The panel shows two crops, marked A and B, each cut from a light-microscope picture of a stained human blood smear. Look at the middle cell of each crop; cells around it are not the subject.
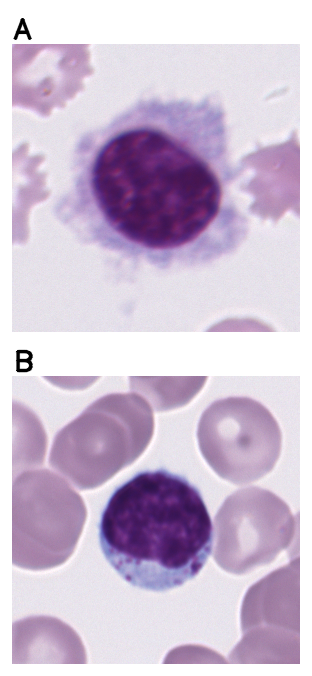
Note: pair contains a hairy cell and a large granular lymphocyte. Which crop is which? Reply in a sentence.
The cell centred in crop A is a hairy cell, while the one centred in crop B is a large granular lymphocyte.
